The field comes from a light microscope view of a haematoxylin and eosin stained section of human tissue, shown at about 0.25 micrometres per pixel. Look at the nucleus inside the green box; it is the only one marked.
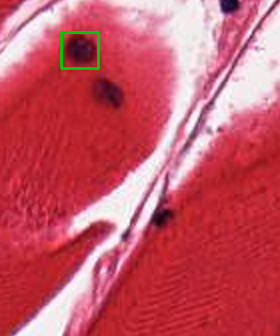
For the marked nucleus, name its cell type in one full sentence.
The marked nucleus belongs, in this picture, to a skeletal muscle fibre.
